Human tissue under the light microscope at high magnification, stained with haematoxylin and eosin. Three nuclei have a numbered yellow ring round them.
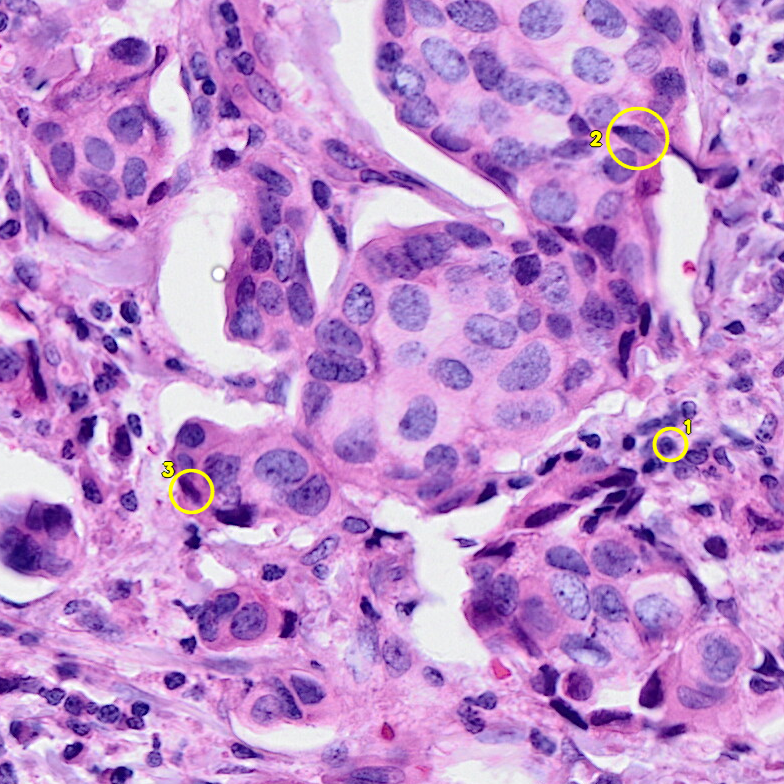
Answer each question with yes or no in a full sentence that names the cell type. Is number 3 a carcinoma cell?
Yes, as for number 3, the cell is a carcinoma cell.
